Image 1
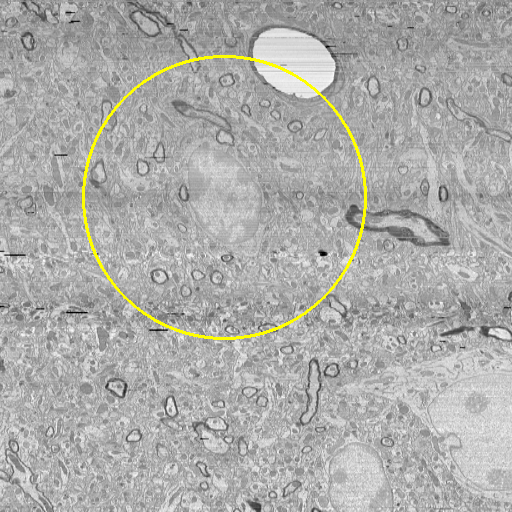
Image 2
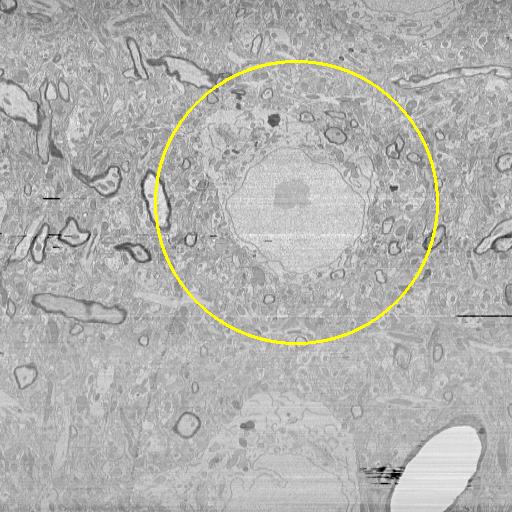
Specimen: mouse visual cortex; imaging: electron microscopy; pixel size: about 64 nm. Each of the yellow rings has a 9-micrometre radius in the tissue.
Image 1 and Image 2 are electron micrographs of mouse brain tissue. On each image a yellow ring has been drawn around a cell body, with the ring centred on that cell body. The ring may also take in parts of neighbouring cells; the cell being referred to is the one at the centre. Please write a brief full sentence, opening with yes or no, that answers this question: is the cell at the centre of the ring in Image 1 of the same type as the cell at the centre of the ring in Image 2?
No, the two cells are of two types.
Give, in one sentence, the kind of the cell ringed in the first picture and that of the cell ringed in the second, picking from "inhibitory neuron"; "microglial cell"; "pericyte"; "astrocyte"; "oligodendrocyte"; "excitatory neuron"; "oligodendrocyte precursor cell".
For the first picture it is an oligodendrocyte; for the second, an excitatory neuron.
